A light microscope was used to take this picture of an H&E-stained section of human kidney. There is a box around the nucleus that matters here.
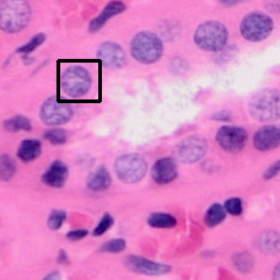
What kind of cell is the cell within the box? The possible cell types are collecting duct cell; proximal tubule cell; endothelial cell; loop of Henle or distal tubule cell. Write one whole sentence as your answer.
In this tissue section, the cell within the box is to be classed as a collecting duct cell.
